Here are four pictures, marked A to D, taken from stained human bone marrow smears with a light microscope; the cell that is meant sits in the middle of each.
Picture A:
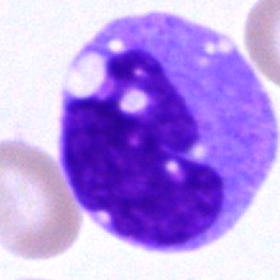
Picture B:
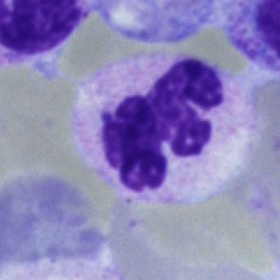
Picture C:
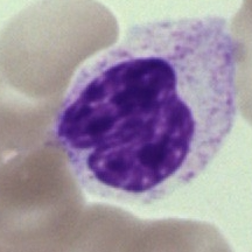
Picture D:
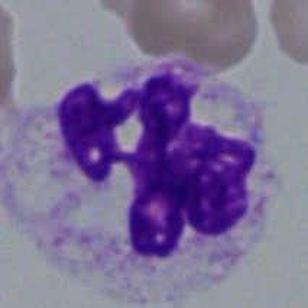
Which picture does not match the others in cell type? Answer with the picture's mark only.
A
